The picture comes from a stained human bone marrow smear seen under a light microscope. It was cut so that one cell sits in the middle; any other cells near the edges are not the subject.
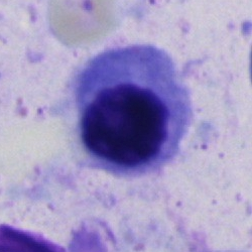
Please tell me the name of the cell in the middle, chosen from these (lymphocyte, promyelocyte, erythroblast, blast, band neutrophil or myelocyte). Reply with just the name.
erythroblast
